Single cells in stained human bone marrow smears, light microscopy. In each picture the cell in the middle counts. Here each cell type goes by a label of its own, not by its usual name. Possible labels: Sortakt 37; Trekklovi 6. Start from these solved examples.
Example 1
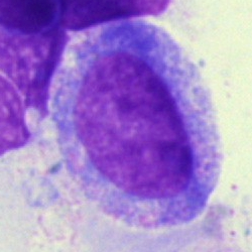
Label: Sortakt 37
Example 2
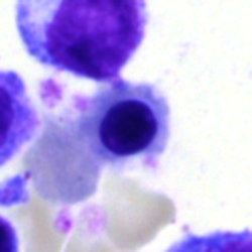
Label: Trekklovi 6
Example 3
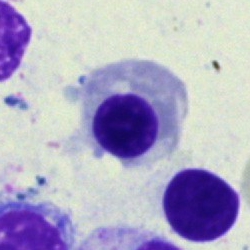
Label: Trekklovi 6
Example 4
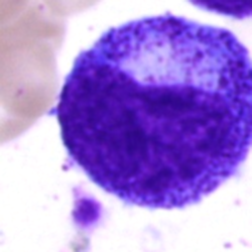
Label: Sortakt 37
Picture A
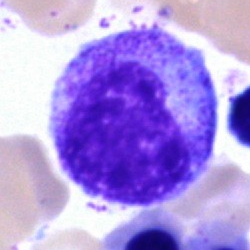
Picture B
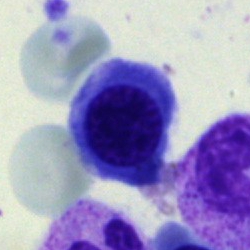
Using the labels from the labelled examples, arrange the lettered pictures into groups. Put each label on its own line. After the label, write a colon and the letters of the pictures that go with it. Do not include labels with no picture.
Sortakt 37: A
Trekklovi 6: B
